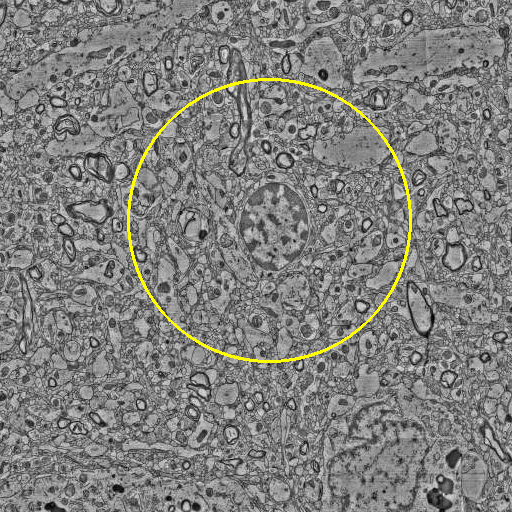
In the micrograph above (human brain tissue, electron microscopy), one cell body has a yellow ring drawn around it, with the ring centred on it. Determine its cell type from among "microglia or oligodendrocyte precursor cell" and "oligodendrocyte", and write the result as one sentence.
The cell whose body is ringed is a microglial cell or oligodendrocyte precursor cell.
